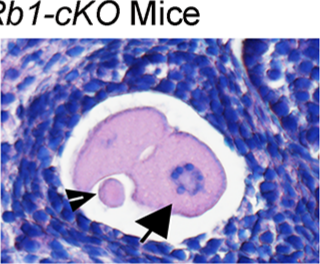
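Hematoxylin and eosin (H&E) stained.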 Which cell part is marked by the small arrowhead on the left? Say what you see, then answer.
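Polar body. A small round pale pink body lies beside the large cell within the clear space. It is much smaller than the large cell next to it.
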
